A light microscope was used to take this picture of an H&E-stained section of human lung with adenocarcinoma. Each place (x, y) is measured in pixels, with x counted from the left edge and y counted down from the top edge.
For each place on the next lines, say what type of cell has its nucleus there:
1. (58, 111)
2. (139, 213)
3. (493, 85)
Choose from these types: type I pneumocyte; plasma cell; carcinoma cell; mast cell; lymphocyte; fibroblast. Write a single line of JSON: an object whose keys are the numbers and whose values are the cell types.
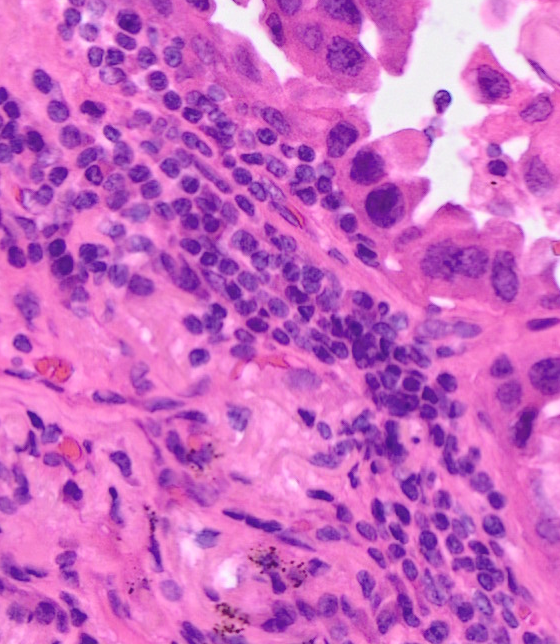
{"1": "lymphocyte", "2": "lymphocyte", "3": "carcinoma cell"}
